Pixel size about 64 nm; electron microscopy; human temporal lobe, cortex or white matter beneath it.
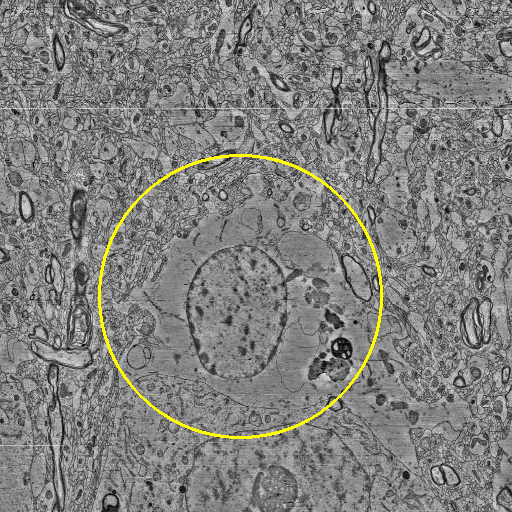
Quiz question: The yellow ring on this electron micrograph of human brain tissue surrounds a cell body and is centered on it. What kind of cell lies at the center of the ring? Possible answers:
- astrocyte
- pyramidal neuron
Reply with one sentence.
The ring's center lies on an astrocyte.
